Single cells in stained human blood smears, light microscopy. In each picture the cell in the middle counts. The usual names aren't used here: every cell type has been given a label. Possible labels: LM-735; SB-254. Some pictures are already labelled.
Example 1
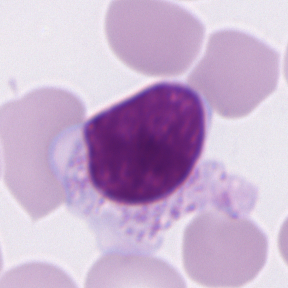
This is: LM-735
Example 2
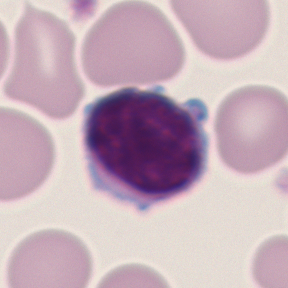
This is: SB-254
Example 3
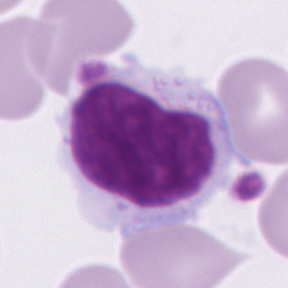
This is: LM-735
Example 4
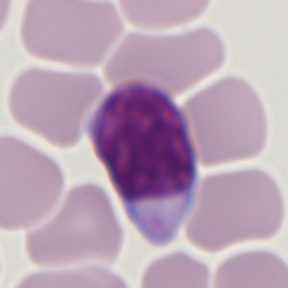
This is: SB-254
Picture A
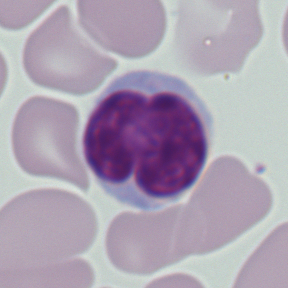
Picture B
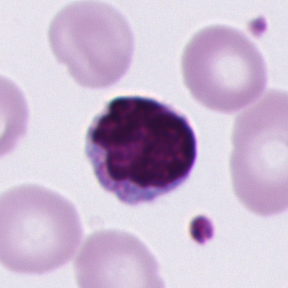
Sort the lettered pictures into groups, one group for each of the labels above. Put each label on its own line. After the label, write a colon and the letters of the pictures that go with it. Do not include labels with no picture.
LM-735: B
SB-254: A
